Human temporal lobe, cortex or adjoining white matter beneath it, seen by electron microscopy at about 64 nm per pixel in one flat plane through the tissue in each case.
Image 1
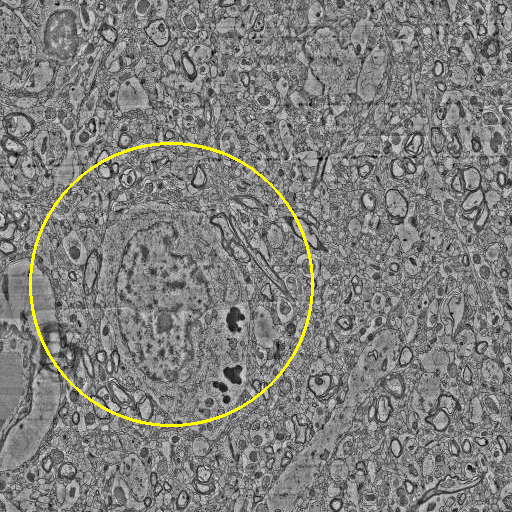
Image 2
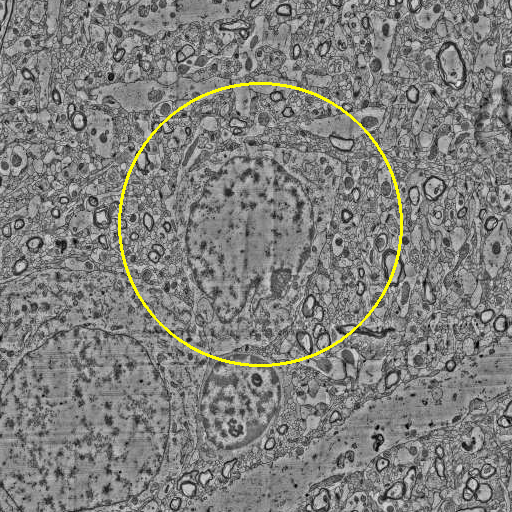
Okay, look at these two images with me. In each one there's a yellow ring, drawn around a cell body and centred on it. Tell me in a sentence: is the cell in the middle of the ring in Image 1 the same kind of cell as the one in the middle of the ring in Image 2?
Yes, they're the same kind of cell.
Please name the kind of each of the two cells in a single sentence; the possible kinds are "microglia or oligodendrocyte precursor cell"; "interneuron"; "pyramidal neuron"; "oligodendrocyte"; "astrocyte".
The cell at the ring centre is an interneuron in both pictures.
